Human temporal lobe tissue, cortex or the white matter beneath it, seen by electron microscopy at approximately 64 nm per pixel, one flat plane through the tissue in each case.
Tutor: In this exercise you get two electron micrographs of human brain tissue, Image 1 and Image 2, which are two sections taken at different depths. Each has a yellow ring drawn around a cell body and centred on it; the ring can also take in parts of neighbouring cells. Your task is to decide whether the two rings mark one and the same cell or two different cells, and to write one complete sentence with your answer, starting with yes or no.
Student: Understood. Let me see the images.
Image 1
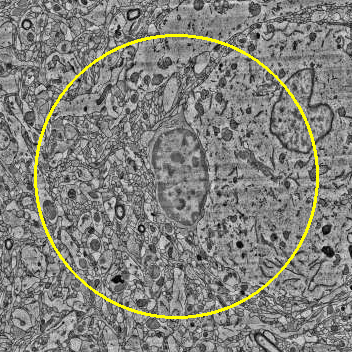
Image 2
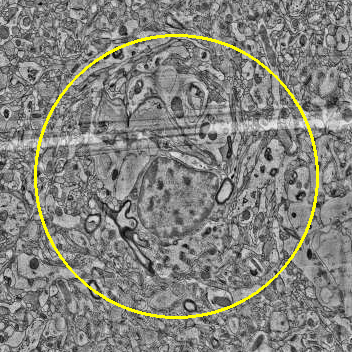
No, the yellow rings are placed on two separate cells.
